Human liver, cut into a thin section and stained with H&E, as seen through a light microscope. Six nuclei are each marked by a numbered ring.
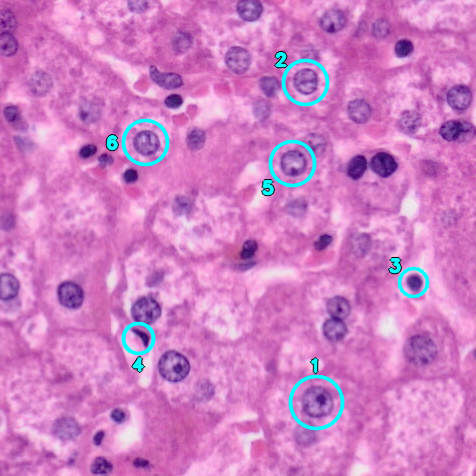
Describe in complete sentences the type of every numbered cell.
Cells 1, 2, 5 and 6 are hepatocytes. Cell 3 is a lymphocyte. Cell 4 is an endothelial cell.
